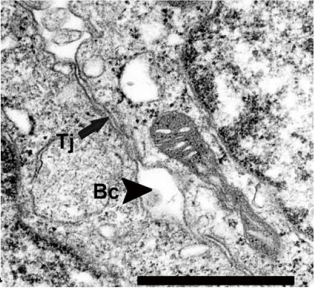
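Hepatocytes at high magnification, showing the contact between two neighbouring cells. The apposed plasma membranes run closely together and open into a small pale lumen, with dense junctional membrane segments alongside it. An elongated mitochondrion with clear cristae lies in the granular cytoplasm next to the lumen.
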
